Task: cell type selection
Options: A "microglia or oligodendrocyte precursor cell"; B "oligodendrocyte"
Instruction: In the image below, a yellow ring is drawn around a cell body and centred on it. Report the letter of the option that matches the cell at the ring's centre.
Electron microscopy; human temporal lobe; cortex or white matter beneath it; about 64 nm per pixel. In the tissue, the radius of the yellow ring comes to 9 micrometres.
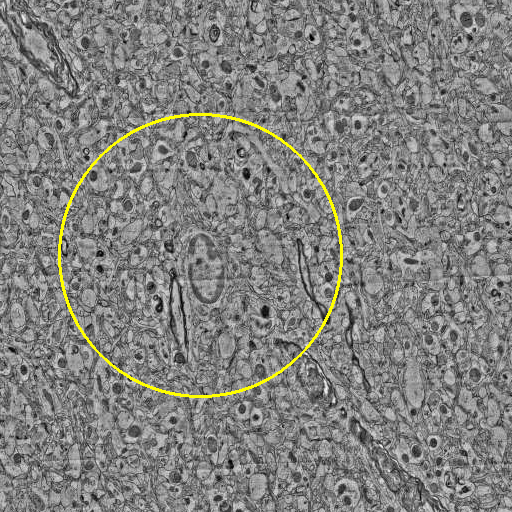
A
